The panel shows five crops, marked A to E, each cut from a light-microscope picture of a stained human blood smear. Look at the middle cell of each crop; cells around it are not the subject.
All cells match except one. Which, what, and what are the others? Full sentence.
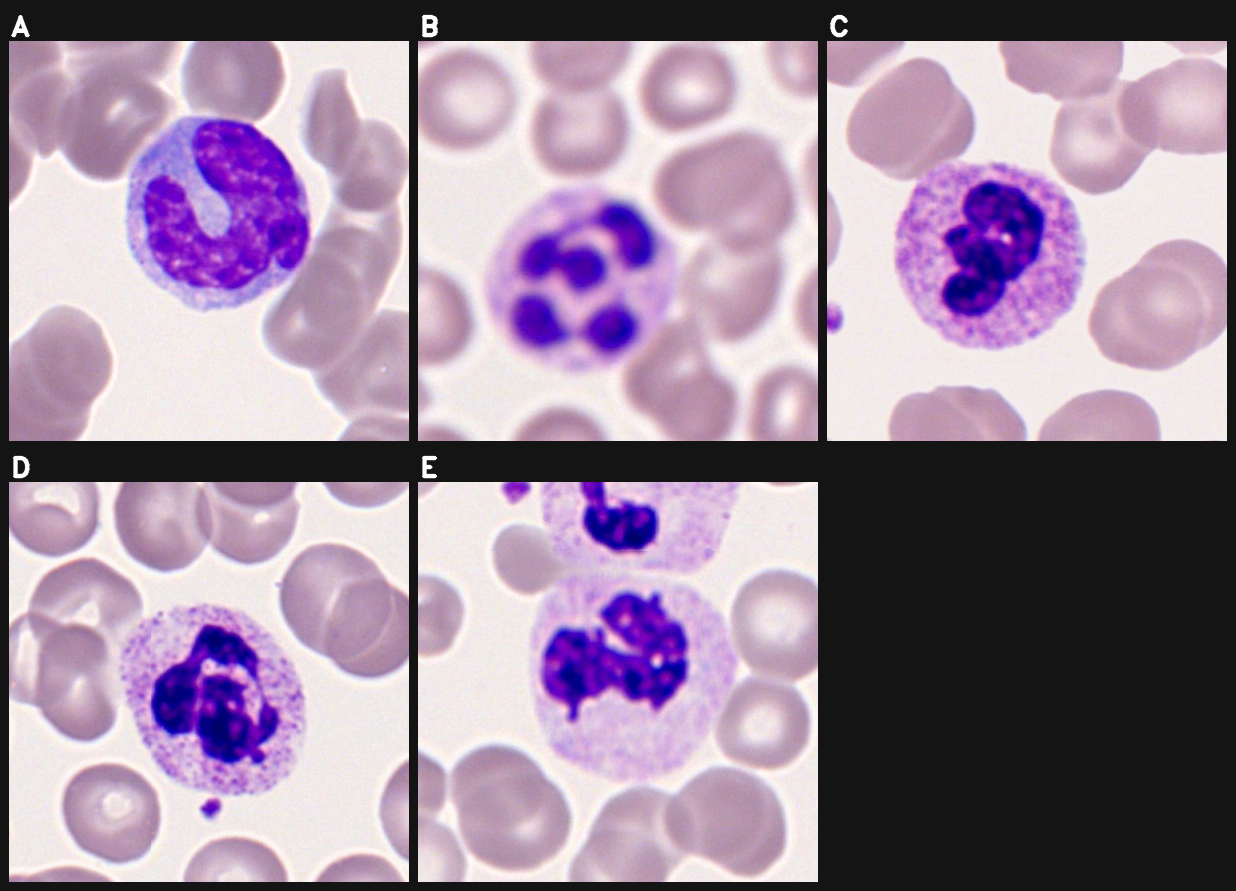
The central cell of crop A is a monocyte, while the other crops show neutrophils.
